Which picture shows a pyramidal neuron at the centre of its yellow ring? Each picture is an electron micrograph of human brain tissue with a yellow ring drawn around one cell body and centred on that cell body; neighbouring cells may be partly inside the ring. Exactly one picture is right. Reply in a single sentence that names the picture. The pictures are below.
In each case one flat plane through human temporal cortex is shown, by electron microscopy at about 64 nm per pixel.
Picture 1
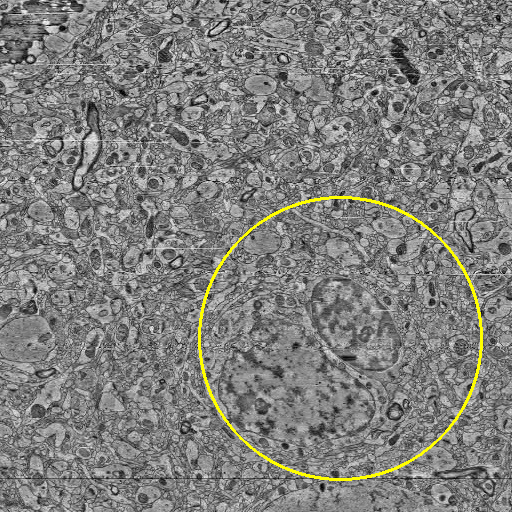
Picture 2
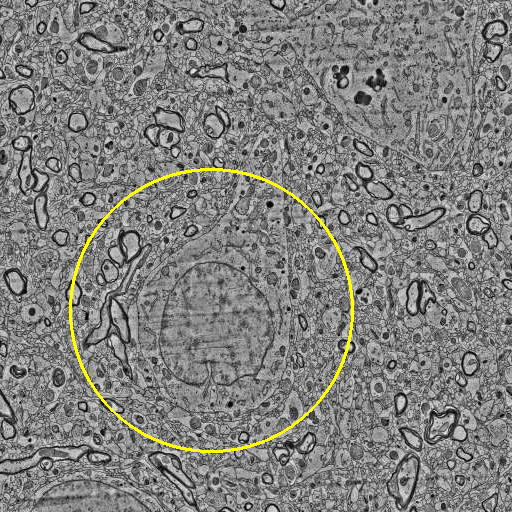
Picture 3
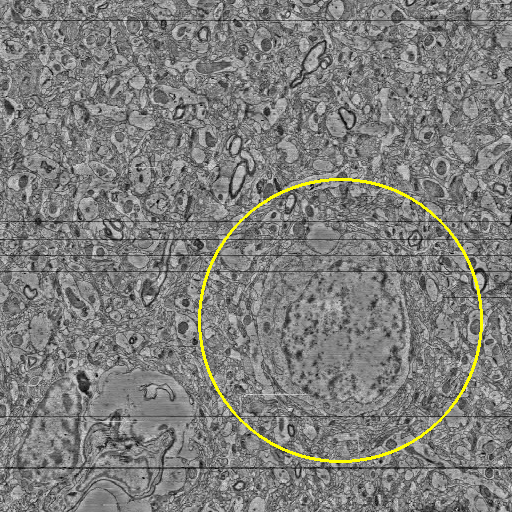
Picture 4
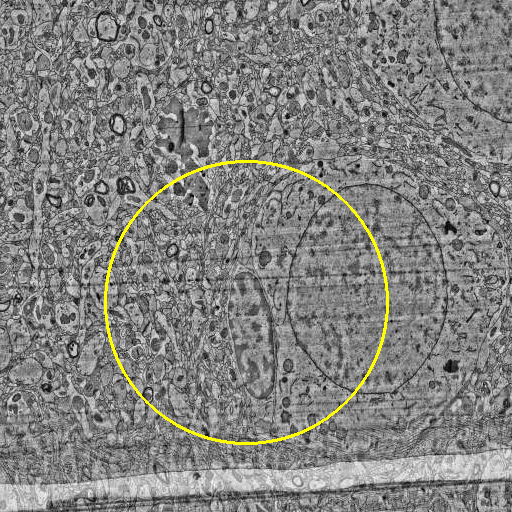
Picture 2 shows it.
